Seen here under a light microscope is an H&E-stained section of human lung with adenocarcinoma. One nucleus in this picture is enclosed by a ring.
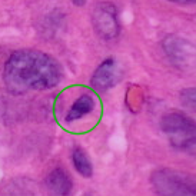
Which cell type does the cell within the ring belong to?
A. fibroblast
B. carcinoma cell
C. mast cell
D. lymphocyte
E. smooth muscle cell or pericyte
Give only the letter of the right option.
D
